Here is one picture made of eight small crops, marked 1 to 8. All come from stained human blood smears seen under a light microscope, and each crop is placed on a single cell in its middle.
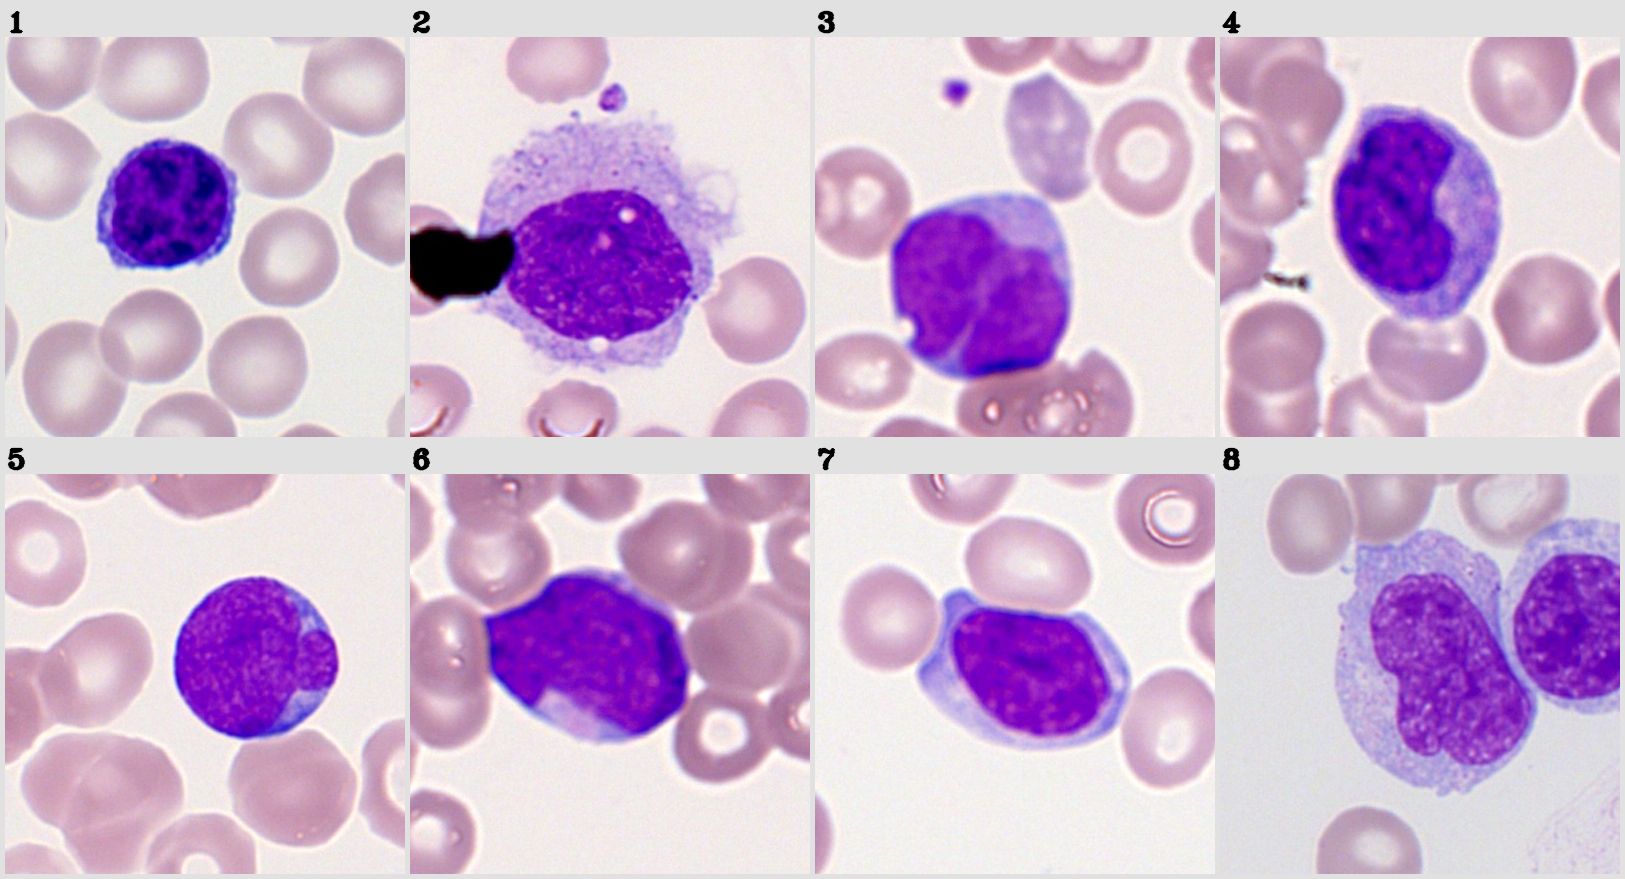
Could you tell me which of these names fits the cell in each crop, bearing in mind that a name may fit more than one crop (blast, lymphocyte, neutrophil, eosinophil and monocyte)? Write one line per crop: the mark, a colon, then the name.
1: lymphocyte
2: monocyte
3: blast
4: monocyte
5: blast
6: blast
7: lymphocyte
8: monocyte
